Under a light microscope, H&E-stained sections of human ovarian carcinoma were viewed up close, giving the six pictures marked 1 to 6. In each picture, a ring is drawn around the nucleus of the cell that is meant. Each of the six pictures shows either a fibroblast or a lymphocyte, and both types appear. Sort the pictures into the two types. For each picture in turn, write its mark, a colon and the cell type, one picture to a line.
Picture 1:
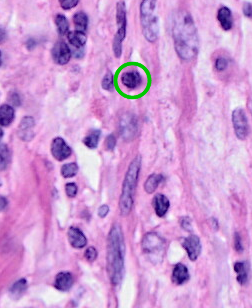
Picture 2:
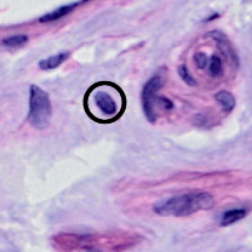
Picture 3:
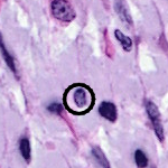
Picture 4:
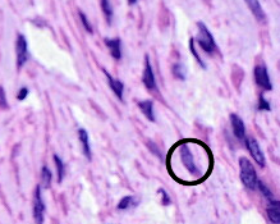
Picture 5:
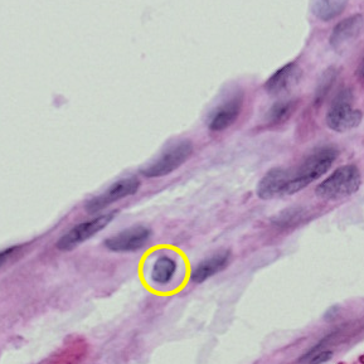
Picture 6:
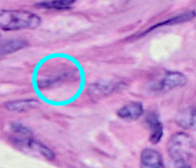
1: lymphocyte
2: lymphocyte
3: lymphocyte
4: fibroblast
5: lymphocyte
6: fibroblast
